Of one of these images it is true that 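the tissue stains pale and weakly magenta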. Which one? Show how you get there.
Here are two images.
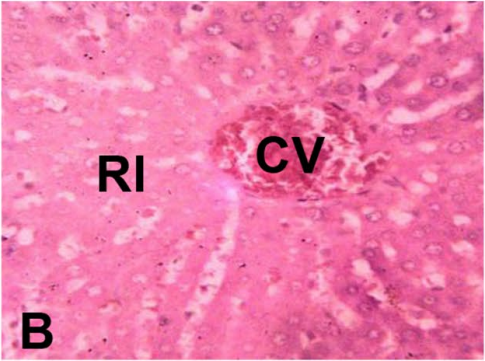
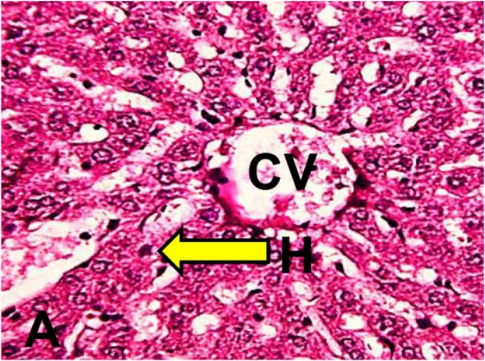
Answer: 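First image: the hepatocyte cytoplasm is pale pink with faint nuclei. Second image: the hepatocyte cytoplasm is deep magenta with distinct nuclei. That points to this answer: the first image.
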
